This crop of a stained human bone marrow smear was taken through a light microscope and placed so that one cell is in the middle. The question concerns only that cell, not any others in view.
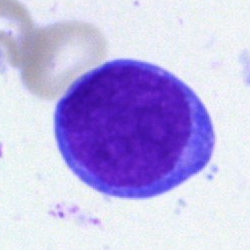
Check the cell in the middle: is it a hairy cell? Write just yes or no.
no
